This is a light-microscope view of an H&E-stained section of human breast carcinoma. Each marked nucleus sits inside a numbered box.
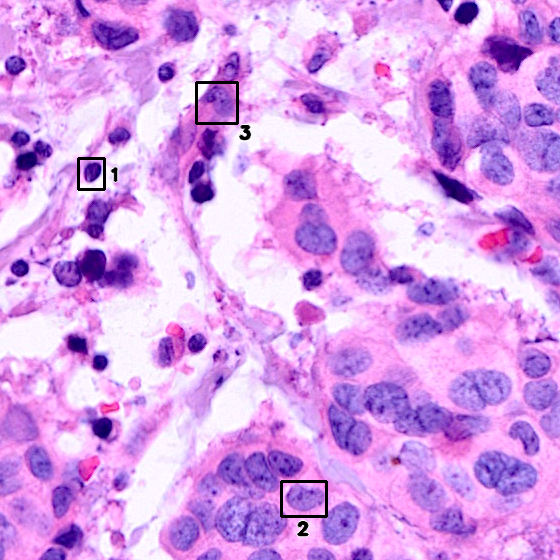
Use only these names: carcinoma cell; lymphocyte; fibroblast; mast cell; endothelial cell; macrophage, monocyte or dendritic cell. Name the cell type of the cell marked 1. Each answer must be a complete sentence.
The cell indicated by marker 1 is a lymphocyte in this section.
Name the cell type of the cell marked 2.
Regarding cell 2, this one is a carcinoma cell.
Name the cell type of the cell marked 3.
The nucleus labeled 3 belongs to an endothelial cell.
